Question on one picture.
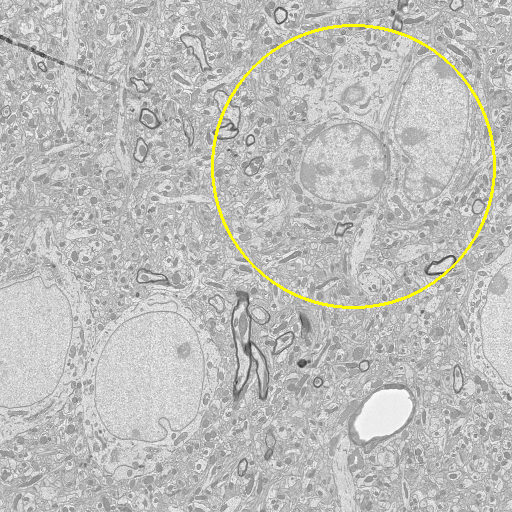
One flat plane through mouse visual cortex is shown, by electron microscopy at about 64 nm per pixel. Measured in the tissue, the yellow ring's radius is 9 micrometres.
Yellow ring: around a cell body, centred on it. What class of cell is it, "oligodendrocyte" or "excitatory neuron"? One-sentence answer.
This is an oligodendrocyte, the cell the ring is centred on.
